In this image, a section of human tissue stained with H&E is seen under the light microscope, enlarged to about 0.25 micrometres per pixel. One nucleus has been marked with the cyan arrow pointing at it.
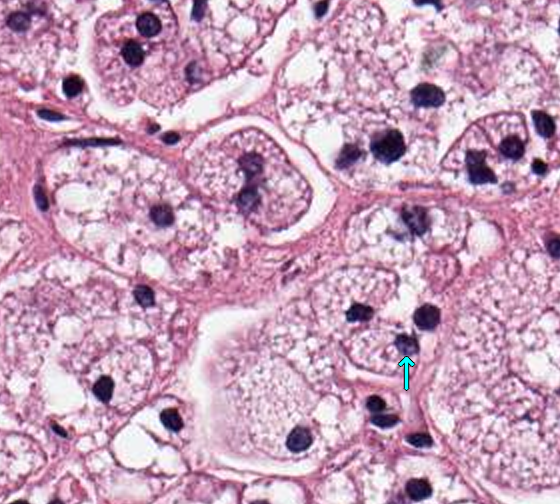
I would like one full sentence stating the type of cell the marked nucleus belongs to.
On this slide, the marked nucleus belongs to an adrenal cortical cell.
